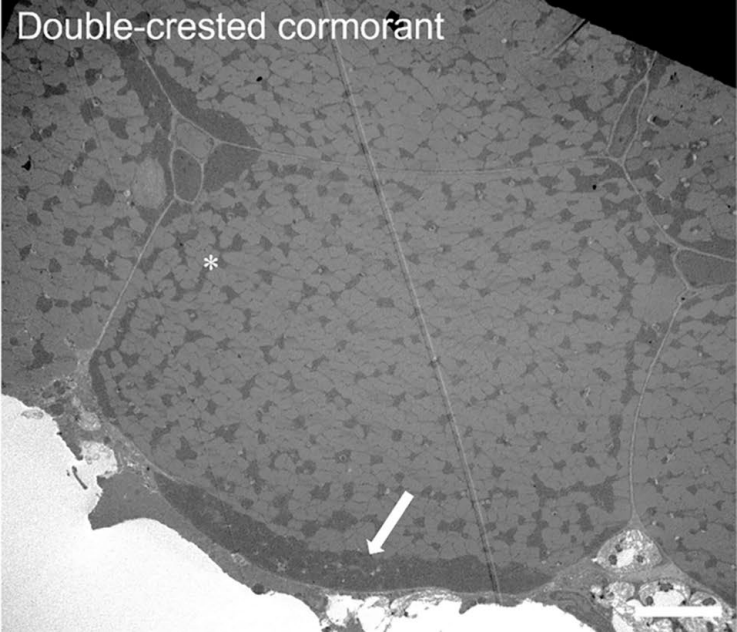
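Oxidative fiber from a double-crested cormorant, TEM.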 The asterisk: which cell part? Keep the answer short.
intermyofibrillar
